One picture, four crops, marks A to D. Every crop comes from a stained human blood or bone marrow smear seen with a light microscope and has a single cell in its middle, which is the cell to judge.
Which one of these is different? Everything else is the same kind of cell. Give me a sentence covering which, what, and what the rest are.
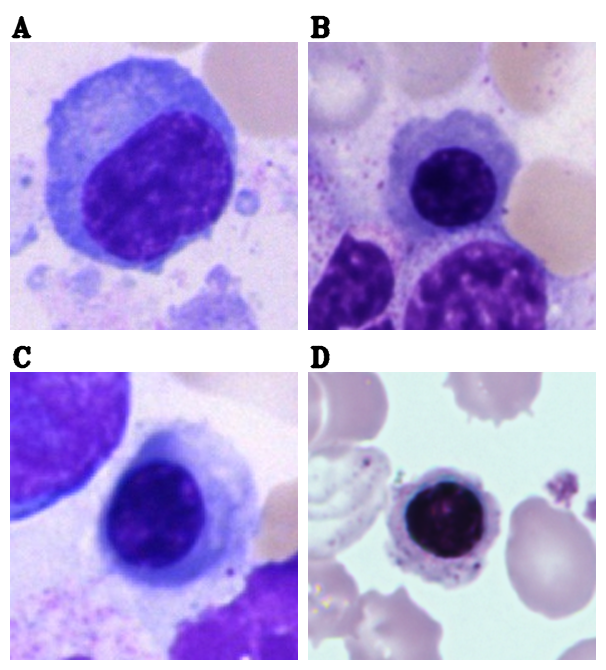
Crop A stands apart as a plasma cell, whereas the remaining crops all show erythroblasts.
